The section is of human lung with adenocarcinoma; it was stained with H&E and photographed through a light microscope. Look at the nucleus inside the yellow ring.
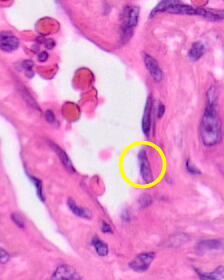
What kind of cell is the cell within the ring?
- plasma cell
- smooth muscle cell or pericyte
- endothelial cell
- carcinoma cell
endothelial cell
